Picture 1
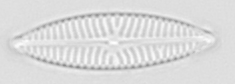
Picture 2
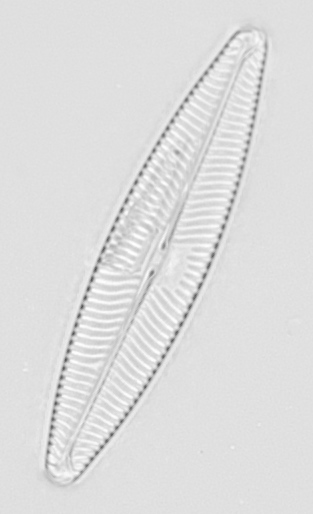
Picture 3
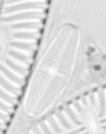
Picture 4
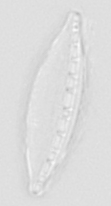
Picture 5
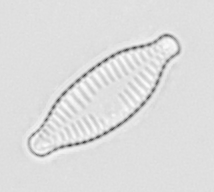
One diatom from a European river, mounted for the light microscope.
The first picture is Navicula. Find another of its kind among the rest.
Picture 2.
